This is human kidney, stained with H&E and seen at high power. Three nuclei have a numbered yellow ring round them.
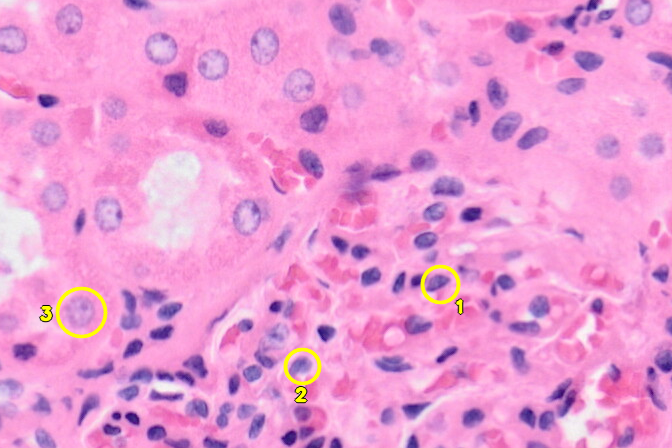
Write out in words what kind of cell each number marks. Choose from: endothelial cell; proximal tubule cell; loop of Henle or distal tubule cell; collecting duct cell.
Cells 1 and 2 are endothelial cells. Cell 3 is a proximal tubule cell.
